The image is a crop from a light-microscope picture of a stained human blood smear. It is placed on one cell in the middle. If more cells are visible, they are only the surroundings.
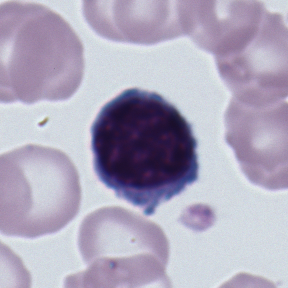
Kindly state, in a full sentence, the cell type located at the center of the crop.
The cell of interest, located centrally, is a typical lymphocyte.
